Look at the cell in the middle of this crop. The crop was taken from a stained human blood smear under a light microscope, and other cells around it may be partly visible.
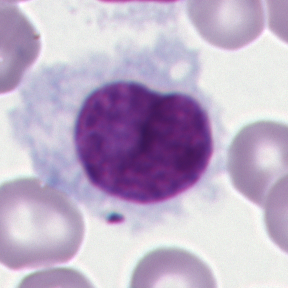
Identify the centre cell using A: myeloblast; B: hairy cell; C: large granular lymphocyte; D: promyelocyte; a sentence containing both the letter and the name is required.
The central cell of the crop is a hairy cell, which makes B the correct option.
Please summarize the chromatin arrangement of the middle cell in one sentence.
The chromatin is fine throughout, without coarse clumps.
